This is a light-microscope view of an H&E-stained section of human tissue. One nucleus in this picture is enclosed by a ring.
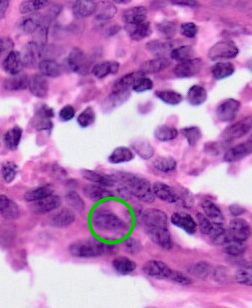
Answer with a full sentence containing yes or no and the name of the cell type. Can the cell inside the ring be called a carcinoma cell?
Yes, the cell inside the ring is a carcinoma cell in this section.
